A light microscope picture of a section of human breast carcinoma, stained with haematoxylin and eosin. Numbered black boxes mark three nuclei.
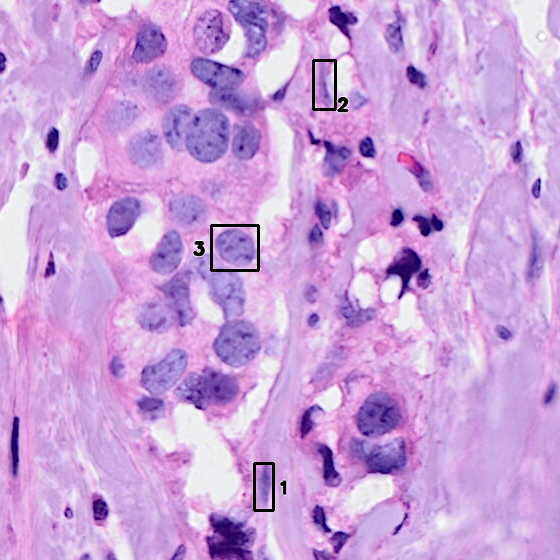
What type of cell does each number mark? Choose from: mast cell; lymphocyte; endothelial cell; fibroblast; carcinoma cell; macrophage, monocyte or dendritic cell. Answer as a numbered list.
1. fibroblast
2. fibroblast
3. carcinoma cell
